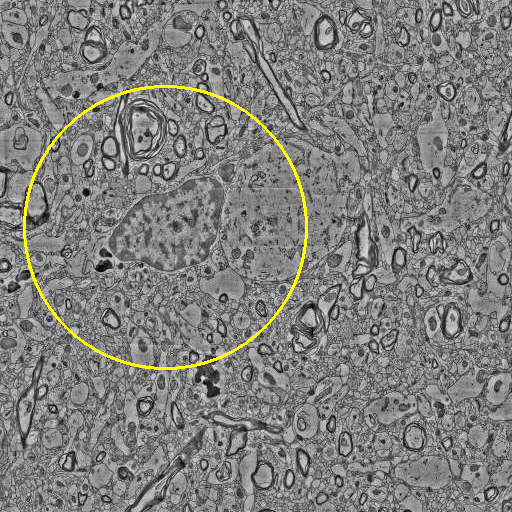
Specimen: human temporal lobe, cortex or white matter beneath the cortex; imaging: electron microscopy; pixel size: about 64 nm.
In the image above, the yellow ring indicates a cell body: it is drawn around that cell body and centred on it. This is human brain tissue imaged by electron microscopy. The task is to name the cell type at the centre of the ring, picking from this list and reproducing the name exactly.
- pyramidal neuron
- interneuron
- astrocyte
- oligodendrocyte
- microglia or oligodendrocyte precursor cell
microglia or oligodendrocyte precursor cell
